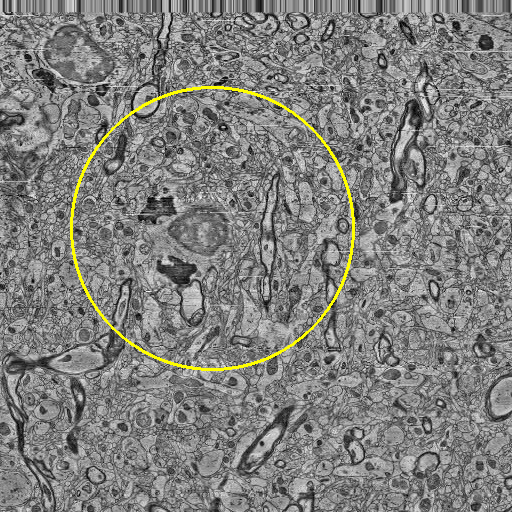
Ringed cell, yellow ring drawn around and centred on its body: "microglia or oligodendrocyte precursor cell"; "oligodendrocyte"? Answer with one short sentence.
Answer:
This ringed cell is an oligodendrocyte.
